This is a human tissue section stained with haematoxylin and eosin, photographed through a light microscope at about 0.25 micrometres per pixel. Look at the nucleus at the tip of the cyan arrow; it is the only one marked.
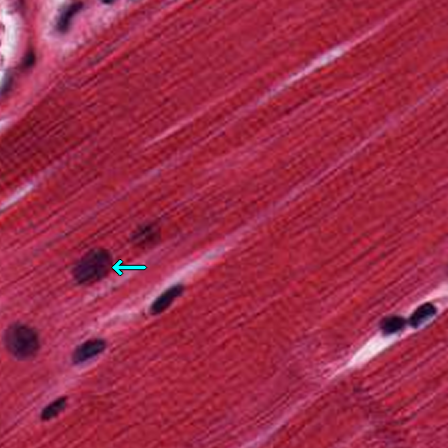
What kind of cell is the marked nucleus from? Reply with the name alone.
skeletal muscle fibre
